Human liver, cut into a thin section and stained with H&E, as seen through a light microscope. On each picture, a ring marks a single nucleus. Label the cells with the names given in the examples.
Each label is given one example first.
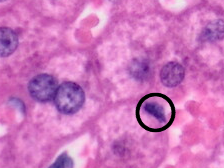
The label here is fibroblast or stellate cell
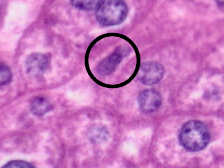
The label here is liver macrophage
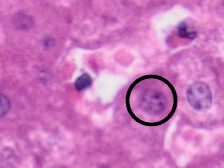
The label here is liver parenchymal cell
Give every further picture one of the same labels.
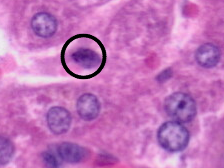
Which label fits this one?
liver macrophage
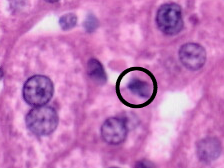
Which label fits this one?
fibroblast or stellate cell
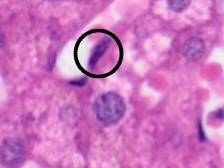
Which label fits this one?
liver macrophage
